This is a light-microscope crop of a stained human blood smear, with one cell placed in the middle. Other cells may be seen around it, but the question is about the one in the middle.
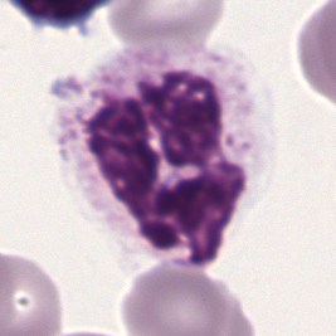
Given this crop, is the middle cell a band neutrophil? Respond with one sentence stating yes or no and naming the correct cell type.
No, the label for the central cell is a segmented neutrophil, not a band neutrophil.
